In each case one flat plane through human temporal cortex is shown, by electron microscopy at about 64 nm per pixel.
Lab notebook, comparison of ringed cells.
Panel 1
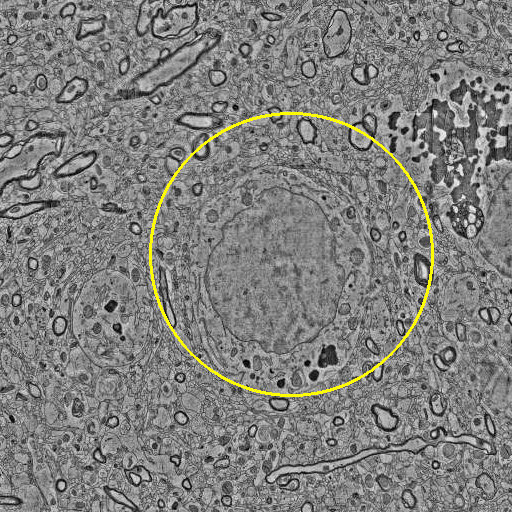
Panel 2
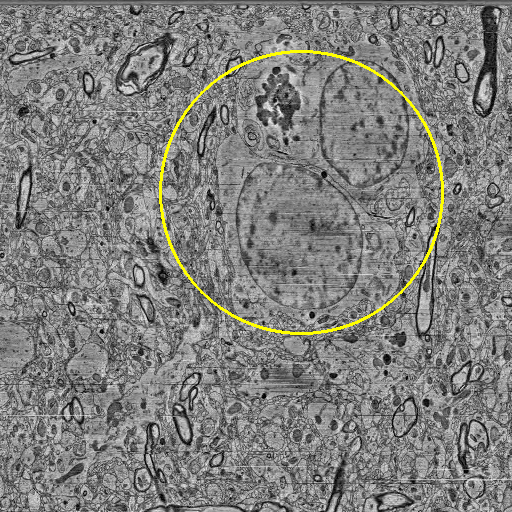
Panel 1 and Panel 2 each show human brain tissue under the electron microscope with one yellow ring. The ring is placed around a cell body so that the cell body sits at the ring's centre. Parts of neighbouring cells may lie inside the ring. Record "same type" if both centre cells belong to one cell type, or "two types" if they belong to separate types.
two types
